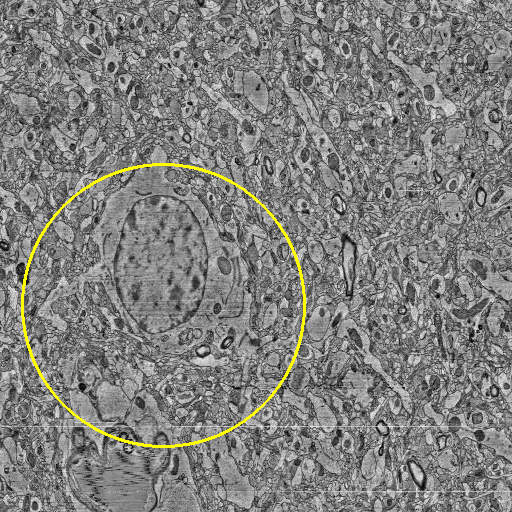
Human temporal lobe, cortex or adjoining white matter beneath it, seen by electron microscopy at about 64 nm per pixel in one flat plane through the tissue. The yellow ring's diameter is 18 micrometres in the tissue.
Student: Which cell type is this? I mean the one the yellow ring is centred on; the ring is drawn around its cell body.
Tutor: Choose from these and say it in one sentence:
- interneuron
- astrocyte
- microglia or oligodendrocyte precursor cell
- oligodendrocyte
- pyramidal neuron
The cell the ring is centred on is an astrocyte.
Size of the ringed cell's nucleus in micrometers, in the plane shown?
About 9 by 6 micrometres in this plane; clearly longer than it is wide.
